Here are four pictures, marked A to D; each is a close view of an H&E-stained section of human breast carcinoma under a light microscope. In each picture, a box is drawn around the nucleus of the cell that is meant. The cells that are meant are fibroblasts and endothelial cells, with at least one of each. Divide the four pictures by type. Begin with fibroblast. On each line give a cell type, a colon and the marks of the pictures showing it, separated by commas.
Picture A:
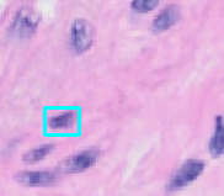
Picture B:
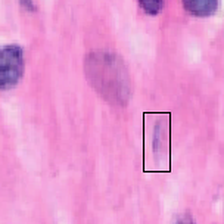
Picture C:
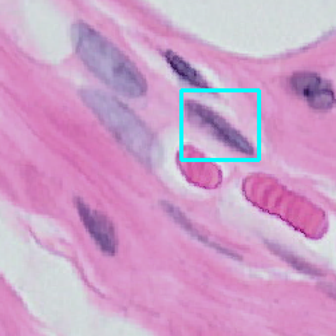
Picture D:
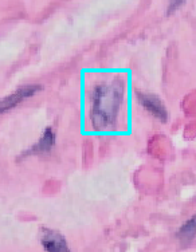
fibroblast: B
endothelial cell: A, C, D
